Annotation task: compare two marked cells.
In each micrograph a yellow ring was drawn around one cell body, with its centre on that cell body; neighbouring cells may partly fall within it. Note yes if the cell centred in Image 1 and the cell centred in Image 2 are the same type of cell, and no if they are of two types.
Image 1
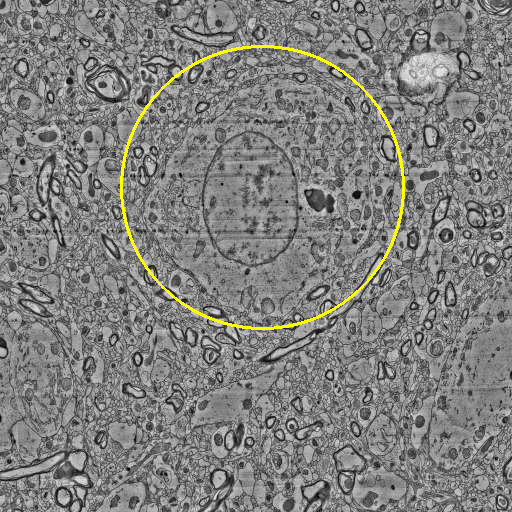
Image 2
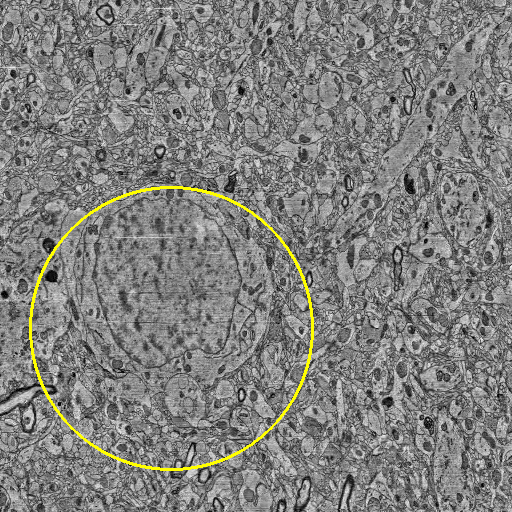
yes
